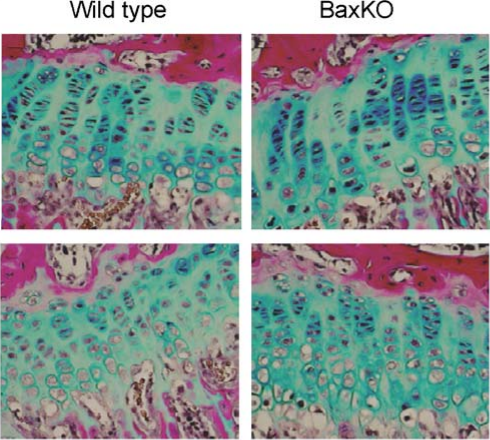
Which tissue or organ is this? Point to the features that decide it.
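Rounded cells sit in lacunae within a blue-green stained matrix. Cells are stacked in longitudinal columns. Pink-red stained tissue borders the cartilage along the top.
Growth plate cartilage.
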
